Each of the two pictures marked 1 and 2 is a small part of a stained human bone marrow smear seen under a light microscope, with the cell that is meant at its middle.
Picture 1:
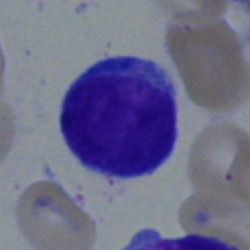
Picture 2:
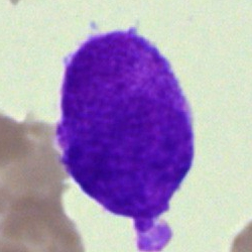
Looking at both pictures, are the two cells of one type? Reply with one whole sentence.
Yes, the two pictures both show blasts.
